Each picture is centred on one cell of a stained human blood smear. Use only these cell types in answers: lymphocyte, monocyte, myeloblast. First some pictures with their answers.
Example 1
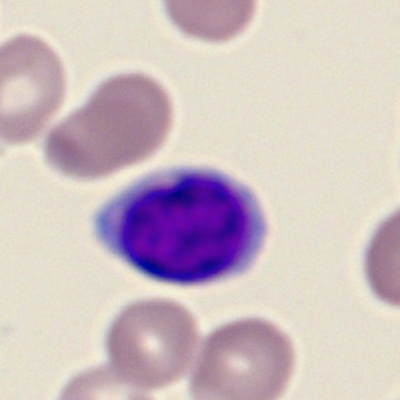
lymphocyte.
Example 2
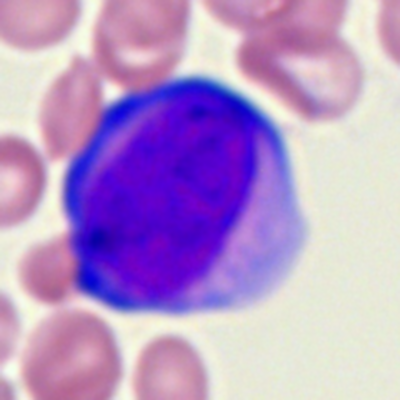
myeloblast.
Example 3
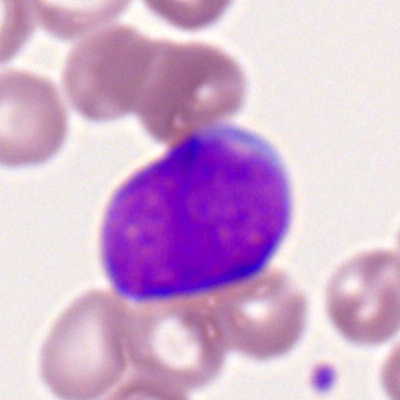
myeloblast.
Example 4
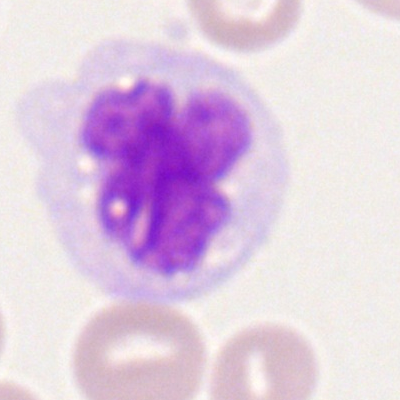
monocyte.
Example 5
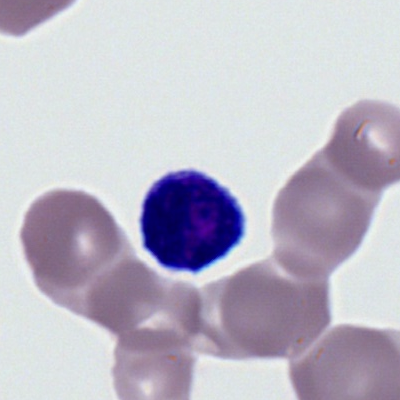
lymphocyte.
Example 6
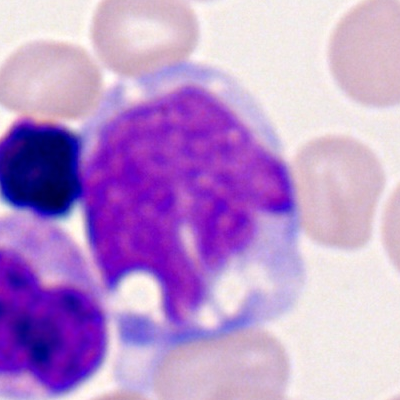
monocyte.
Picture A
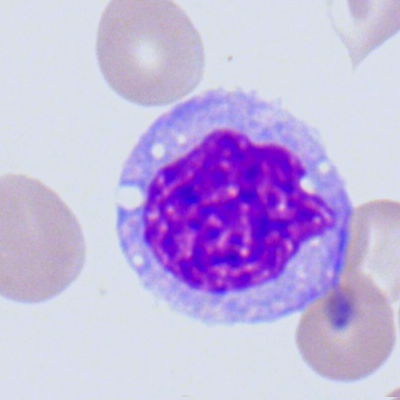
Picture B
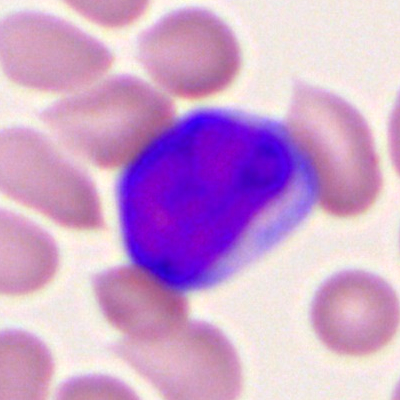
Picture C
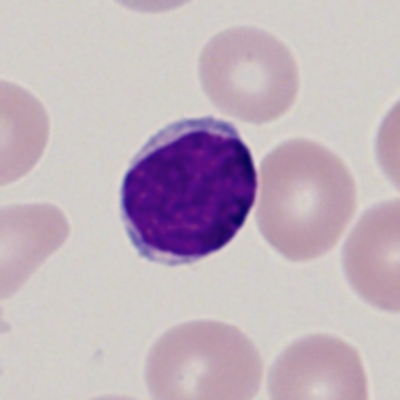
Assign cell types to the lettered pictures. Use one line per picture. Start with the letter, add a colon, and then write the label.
A: monocyte.
B: myeloblast.
C: lymphocyte.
